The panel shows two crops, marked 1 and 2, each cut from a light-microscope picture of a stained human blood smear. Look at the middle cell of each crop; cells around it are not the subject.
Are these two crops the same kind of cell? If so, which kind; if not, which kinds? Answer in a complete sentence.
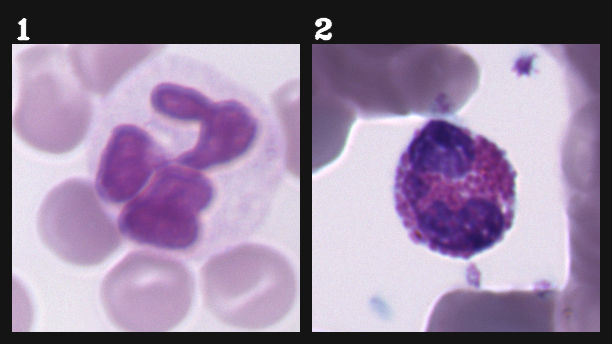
No, crop 1 captures a segmented neutrophil; meanwhile crop 2 captures an eosinophil.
